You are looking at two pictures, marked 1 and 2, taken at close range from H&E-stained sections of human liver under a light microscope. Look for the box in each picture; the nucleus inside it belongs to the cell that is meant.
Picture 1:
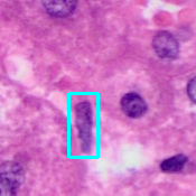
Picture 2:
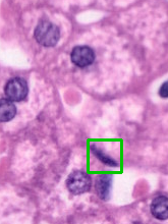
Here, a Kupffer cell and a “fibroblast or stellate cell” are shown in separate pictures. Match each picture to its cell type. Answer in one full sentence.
In picture 1 the cell is a Kupffer cell; in picture 2, a “fibroblast or stellate cell”.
